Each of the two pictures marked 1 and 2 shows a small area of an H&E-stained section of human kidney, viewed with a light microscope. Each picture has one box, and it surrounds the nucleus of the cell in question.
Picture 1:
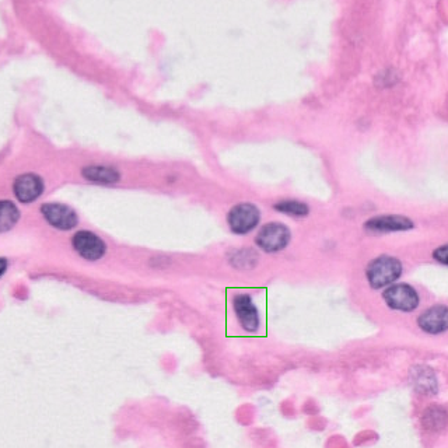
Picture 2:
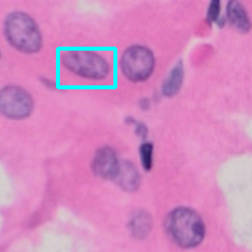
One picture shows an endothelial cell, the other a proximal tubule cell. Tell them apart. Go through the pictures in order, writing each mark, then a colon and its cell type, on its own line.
1: endothelial cell
2: proximal tubule cell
